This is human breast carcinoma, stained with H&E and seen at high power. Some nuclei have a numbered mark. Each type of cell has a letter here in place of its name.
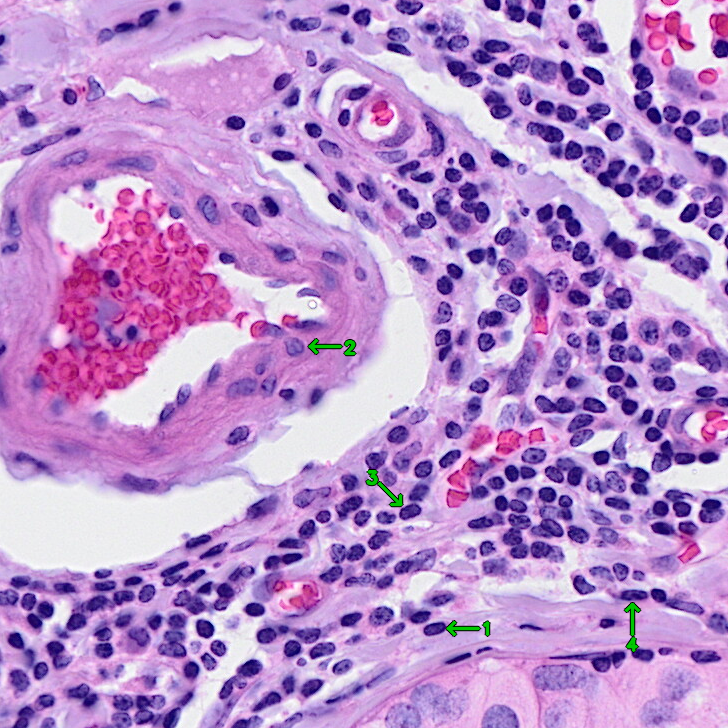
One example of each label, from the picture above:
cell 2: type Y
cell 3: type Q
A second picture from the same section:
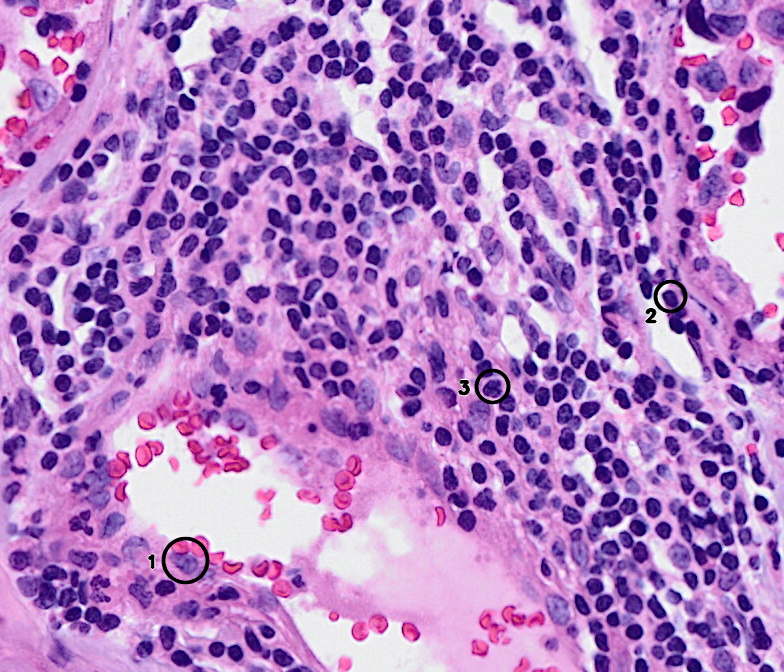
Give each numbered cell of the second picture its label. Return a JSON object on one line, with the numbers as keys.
{"1": "type Y", "2": "type Q", "3": "type Q"}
